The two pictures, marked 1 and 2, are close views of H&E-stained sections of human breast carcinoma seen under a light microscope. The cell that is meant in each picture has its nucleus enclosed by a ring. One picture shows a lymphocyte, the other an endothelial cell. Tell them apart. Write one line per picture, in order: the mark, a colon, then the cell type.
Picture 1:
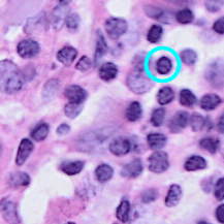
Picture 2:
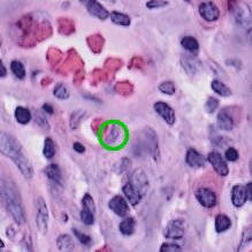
1: lymphocyte
2: endothelial cell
